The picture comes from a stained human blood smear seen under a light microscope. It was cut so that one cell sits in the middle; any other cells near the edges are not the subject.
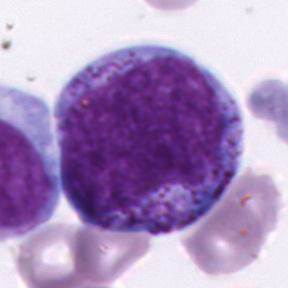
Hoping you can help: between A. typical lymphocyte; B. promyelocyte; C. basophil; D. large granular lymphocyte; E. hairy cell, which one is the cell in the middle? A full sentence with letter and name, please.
Option B is correct, naming the cell in the middle as a promyelocyte.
